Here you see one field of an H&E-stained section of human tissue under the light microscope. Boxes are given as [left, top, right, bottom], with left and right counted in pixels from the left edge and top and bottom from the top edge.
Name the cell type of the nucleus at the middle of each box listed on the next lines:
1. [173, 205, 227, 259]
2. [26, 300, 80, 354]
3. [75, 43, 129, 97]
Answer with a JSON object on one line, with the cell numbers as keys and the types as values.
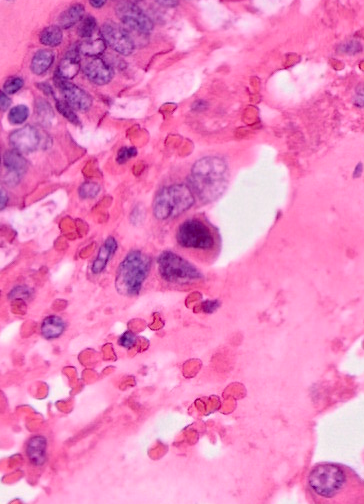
{"1": "carcinoma cell", "2": "macrophage or monocyte", "3": "ciliated epithelial cell"}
